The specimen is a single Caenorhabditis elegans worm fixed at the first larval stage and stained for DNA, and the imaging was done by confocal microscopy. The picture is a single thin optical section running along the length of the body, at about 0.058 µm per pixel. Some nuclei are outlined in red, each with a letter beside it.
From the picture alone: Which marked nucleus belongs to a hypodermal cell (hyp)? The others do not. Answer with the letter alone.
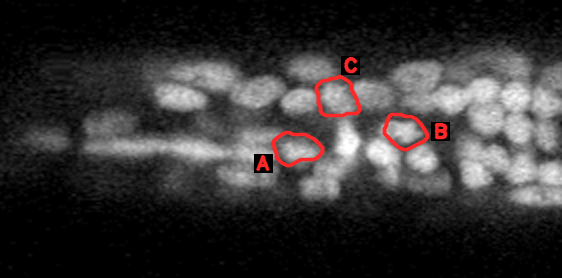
C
